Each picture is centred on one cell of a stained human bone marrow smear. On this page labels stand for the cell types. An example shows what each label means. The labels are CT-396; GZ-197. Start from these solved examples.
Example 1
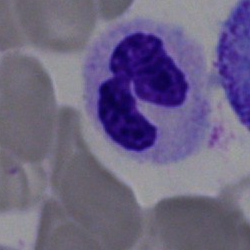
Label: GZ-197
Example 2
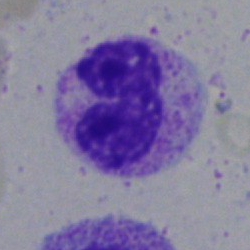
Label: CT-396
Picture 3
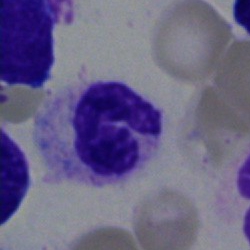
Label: GZ-197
